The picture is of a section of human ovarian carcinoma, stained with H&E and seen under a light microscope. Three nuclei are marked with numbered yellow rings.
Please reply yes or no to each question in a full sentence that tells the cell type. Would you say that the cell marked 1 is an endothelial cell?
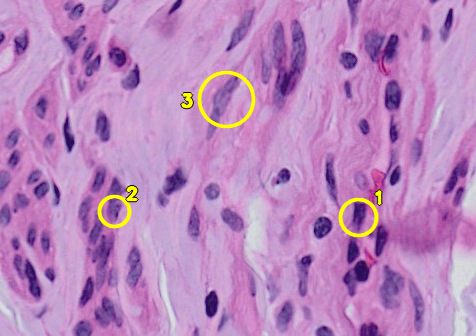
Yes, kindly take note: the cell numbered 1 is an endothelial cell.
